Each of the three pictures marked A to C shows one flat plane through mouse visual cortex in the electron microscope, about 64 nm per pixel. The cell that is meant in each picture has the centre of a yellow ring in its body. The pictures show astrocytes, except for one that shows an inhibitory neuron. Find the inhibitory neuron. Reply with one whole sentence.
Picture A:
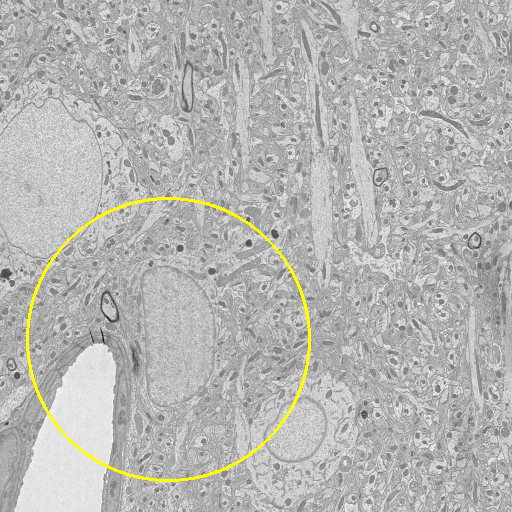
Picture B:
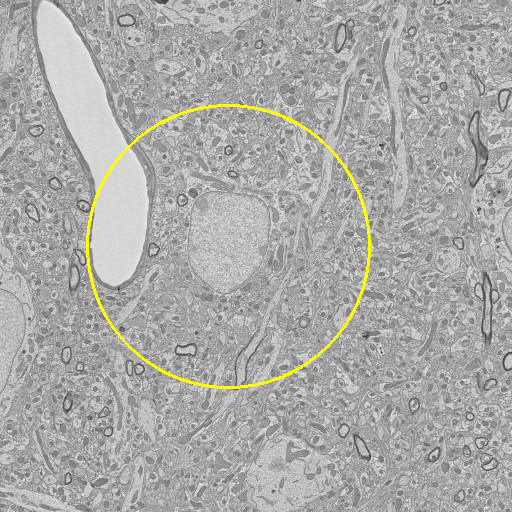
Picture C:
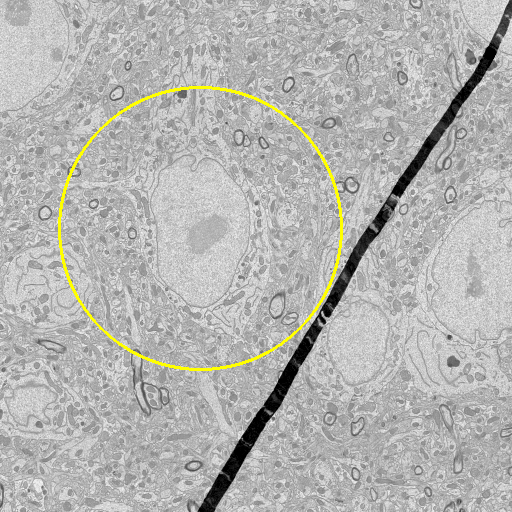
Picture C is the one that shows the inhibitory neuron.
